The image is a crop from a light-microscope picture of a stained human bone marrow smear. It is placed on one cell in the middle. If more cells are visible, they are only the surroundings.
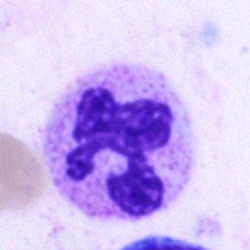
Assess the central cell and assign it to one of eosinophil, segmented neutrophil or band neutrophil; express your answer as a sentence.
In the crop, the cell of interest at the centre is a segmented neutrophil.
